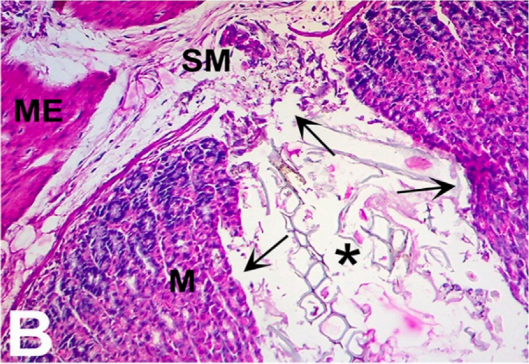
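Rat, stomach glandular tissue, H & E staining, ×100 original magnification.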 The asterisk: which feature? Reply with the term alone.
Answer: necrotic debris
